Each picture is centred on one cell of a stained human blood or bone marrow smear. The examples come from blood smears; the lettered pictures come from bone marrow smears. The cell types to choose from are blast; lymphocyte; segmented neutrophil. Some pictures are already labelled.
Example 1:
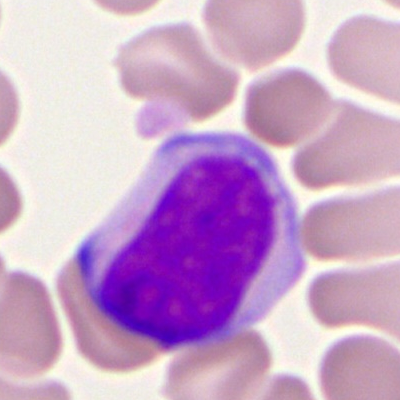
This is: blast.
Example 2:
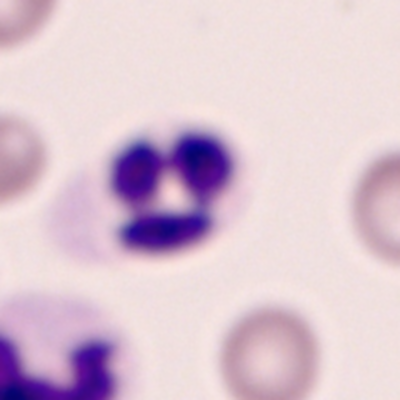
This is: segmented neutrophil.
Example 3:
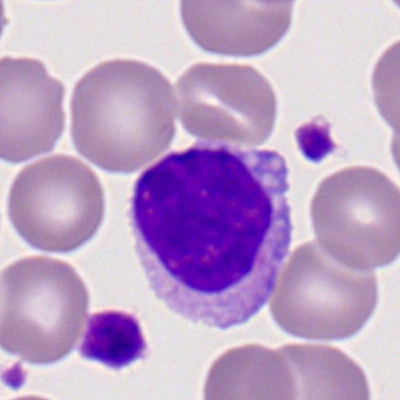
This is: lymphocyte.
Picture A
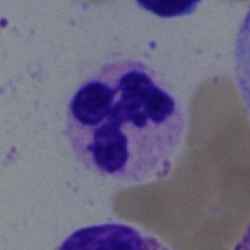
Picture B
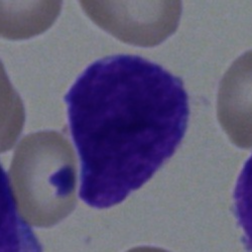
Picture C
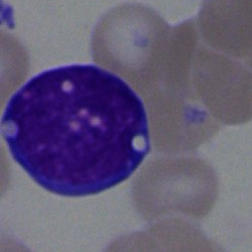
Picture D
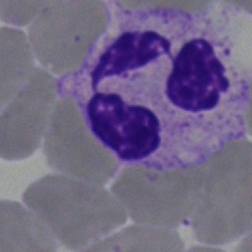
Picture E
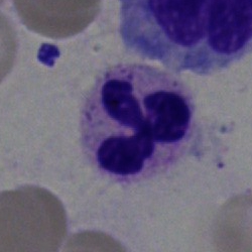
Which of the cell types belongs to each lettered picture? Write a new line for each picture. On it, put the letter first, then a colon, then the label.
A: segmented neutrophil.
B: blast.
C: blast.
D: segmented neutrophil.
E: segmented neutrophil.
